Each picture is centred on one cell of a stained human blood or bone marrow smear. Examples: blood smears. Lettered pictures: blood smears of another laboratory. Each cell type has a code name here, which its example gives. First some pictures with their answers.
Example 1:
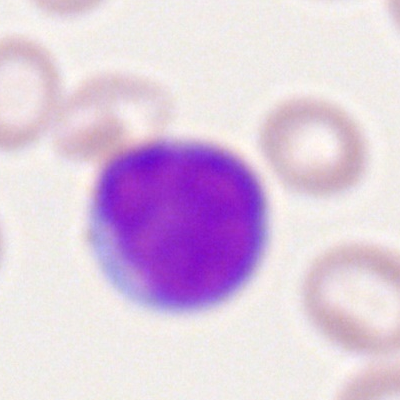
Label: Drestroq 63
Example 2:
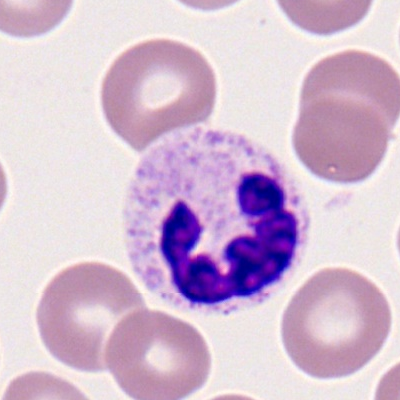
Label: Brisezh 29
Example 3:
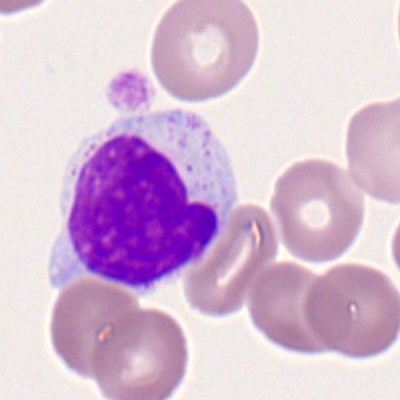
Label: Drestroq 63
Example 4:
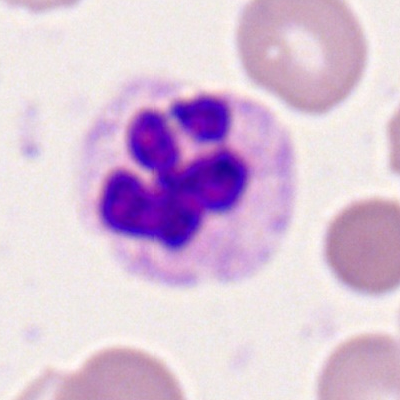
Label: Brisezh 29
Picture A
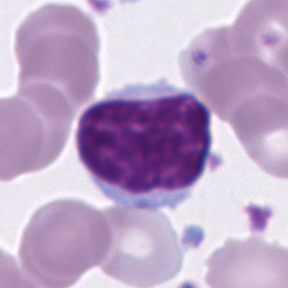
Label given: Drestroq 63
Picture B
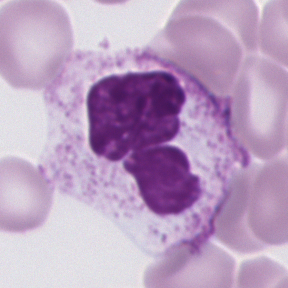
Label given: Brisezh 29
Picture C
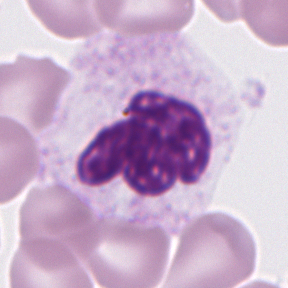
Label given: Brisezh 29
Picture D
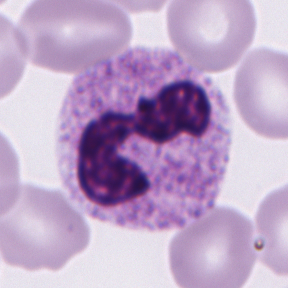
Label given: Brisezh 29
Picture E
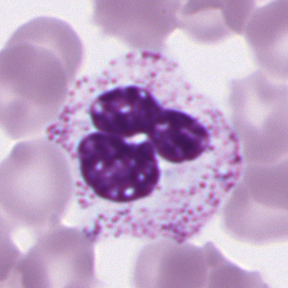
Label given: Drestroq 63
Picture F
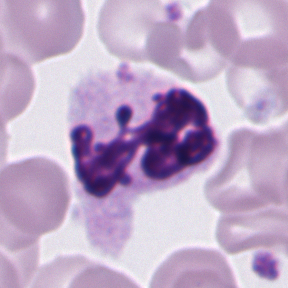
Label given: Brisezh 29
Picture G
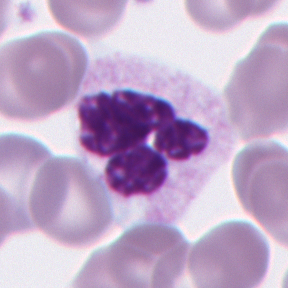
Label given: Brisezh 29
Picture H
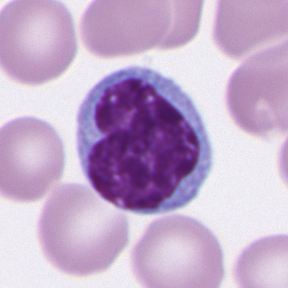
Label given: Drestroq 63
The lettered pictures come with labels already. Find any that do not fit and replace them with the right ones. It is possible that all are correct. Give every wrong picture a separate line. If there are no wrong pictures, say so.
E is labelled Drestroq 63; correct label: Brisezh 29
